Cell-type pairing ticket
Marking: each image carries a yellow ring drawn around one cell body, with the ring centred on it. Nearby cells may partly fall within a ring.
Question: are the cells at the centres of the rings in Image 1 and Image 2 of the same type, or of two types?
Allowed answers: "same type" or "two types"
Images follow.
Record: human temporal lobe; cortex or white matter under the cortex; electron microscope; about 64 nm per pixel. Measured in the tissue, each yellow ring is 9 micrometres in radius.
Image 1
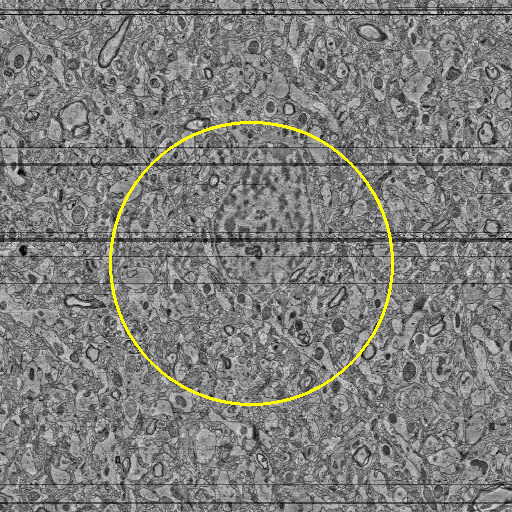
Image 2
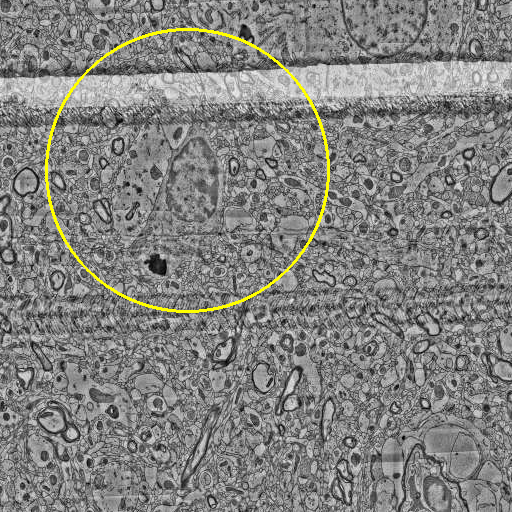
same type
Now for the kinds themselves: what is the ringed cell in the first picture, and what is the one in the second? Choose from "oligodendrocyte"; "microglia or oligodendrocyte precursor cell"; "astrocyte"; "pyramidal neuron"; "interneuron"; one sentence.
In the first picture and in the second, the ring is centred on an oligodendrocyte.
